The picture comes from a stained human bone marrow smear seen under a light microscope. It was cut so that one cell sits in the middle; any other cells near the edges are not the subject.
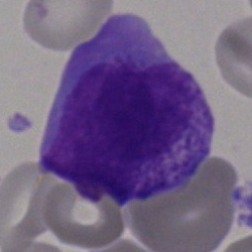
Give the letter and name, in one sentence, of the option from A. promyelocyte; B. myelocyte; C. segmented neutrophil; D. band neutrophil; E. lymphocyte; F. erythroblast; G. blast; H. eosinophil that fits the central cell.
Option G correctly states that the central cell is a blast.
